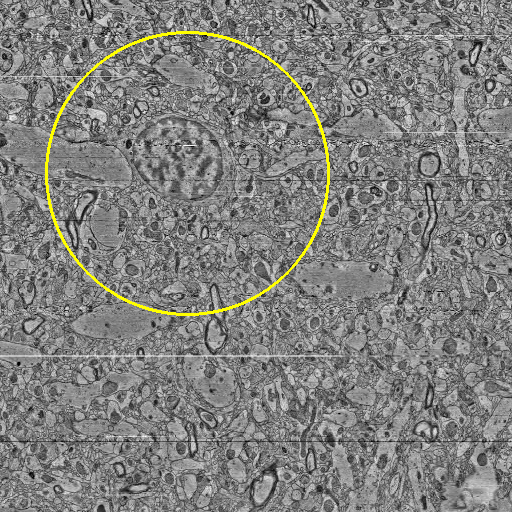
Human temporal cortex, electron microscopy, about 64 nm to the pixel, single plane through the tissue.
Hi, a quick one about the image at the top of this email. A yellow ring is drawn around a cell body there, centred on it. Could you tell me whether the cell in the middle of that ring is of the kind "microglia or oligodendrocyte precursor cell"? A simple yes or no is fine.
no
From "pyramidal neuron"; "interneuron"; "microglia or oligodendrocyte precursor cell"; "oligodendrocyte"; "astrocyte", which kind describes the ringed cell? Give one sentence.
It is an oligodendrocyte at the centre of the ring.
